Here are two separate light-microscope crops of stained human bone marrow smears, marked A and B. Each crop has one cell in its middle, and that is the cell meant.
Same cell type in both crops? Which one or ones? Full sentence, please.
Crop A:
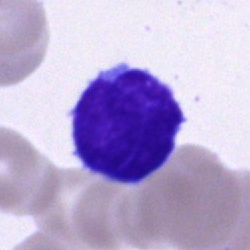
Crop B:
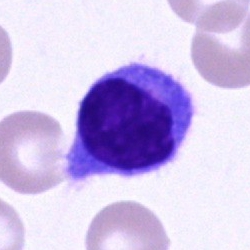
Yes, lymphocytes are depicted in both crops.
